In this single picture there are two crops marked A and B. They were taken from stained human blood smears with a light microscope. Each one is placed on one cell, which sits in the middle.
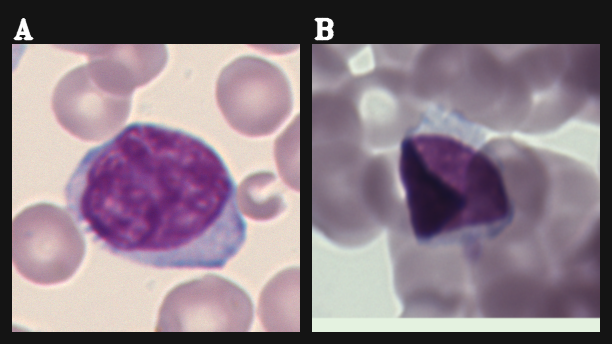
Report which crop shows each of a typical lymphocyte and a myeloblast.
A: myeloblast
B: typical lymphocyte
